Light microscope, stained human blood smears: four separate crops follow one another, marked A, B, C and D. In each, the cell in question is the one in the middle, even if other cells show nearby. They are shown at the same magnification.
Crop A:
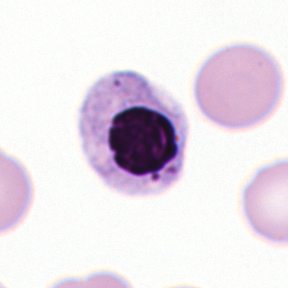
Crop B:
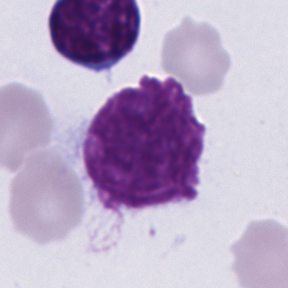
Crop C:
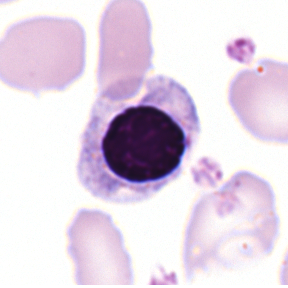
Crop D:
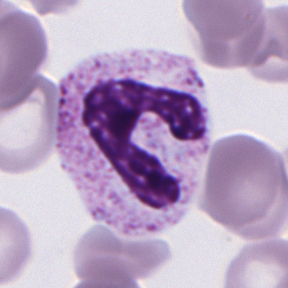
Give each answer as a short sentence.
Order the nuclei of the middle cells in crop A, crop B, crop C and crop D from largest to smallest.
The order is B, D, C, A, beginning with the largest.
